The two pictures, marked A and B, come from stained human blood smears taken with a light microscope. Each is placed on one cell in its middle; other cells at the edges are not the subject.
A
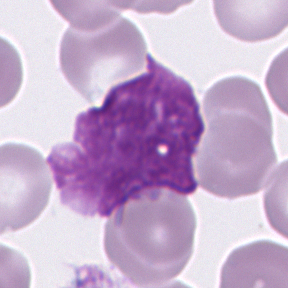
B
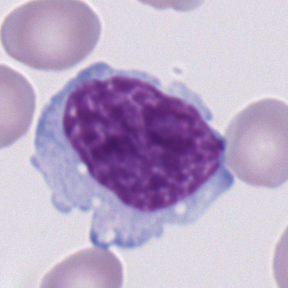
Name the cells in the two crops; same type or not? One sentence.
No, crop A captures a smudge cell; meanwhile crop B captures a myeloblast.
